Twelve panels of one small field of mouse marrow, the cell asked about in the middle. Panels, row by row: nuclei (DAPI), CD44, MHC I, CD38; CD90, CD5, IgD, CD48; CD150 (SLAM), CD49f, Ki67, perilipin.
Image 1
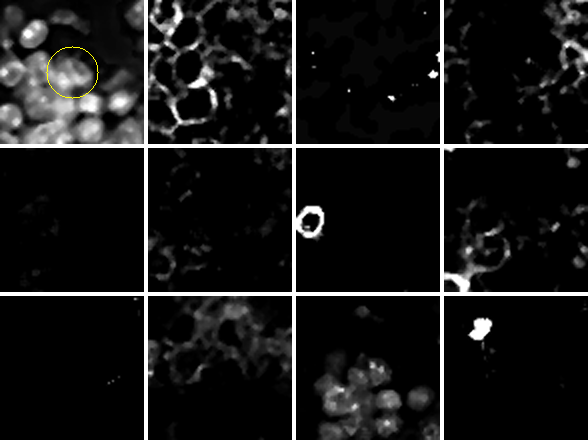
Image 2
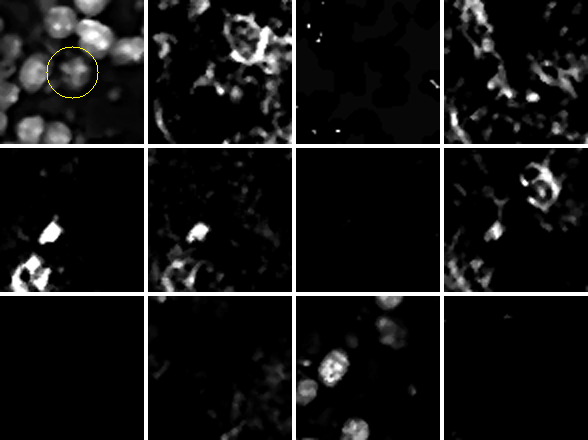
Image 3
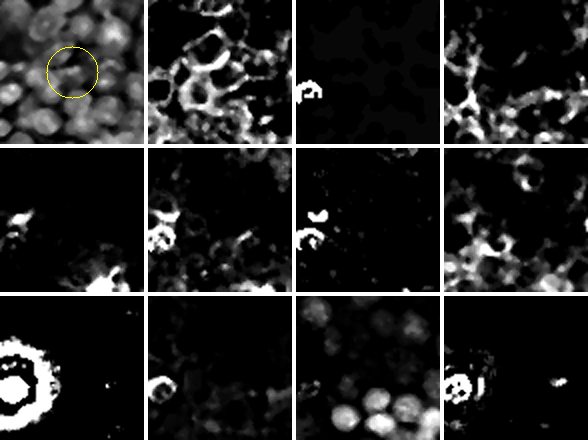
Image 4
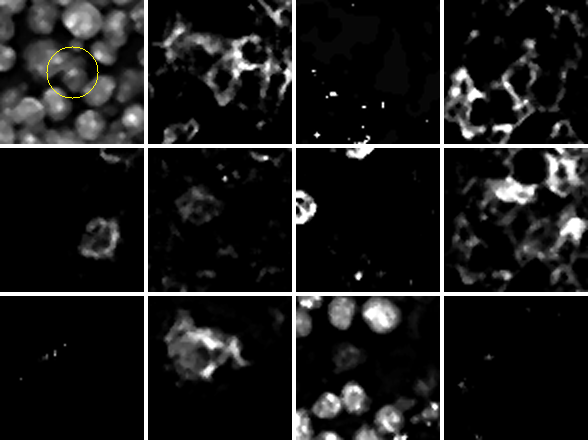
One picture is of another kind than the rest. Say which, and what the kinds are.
Picture 1 shows an erythroblast; the rest show neutrophils.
